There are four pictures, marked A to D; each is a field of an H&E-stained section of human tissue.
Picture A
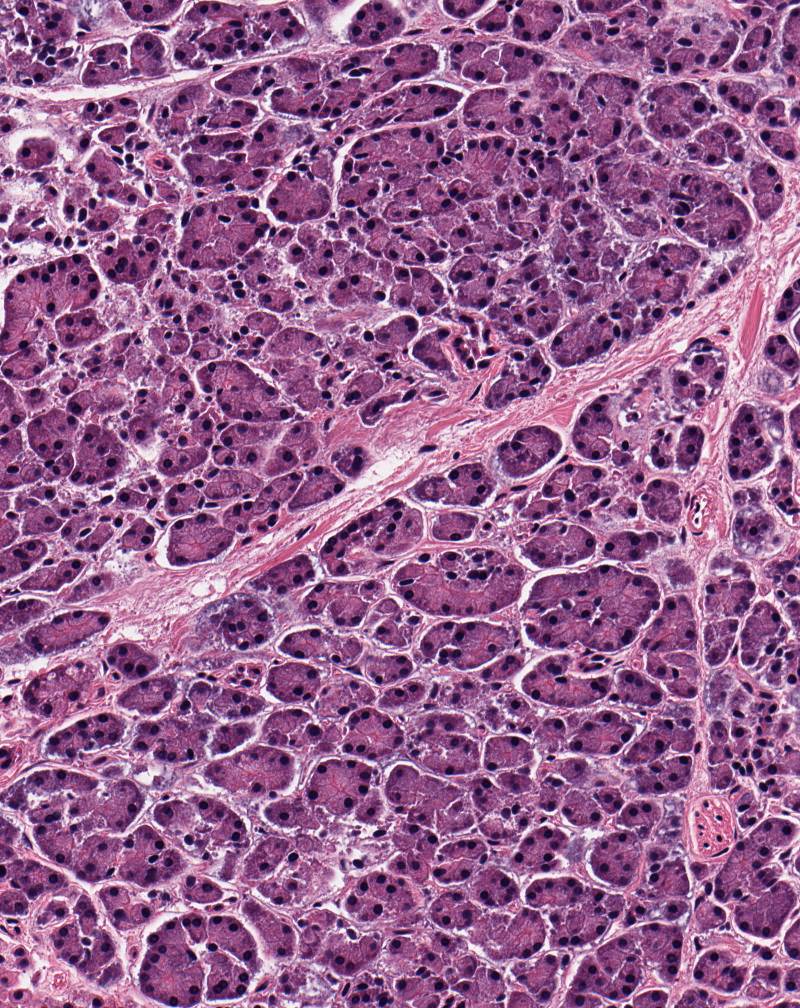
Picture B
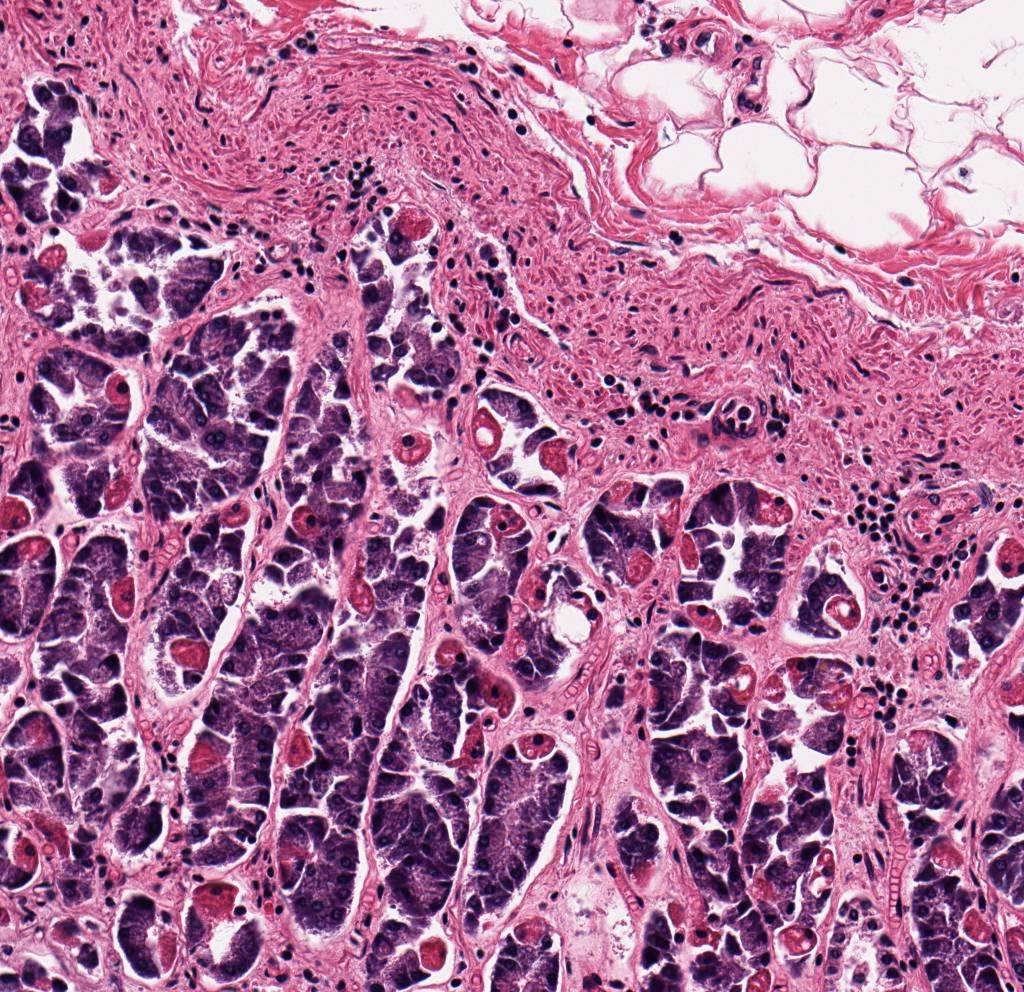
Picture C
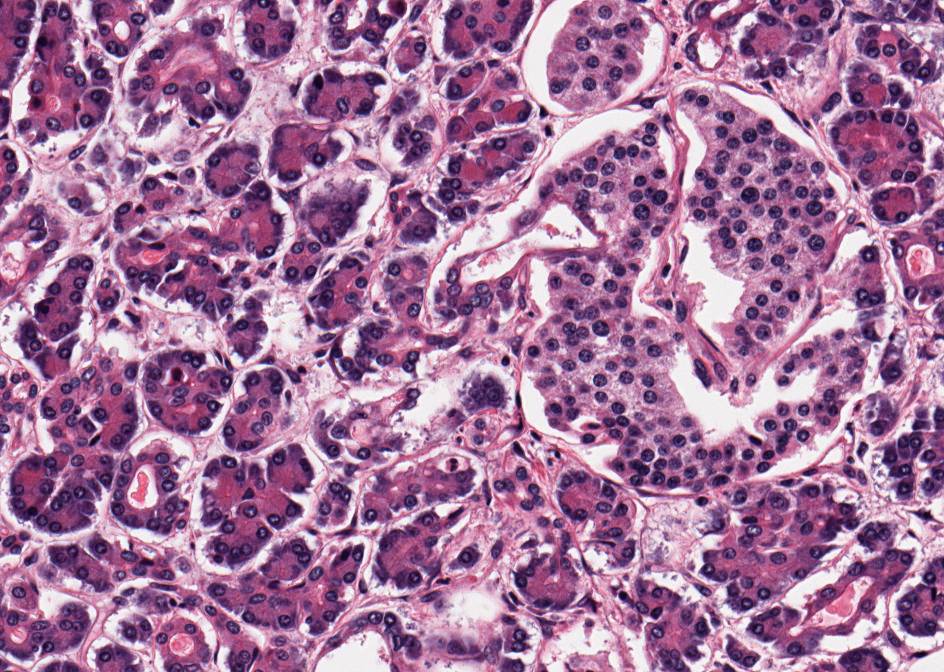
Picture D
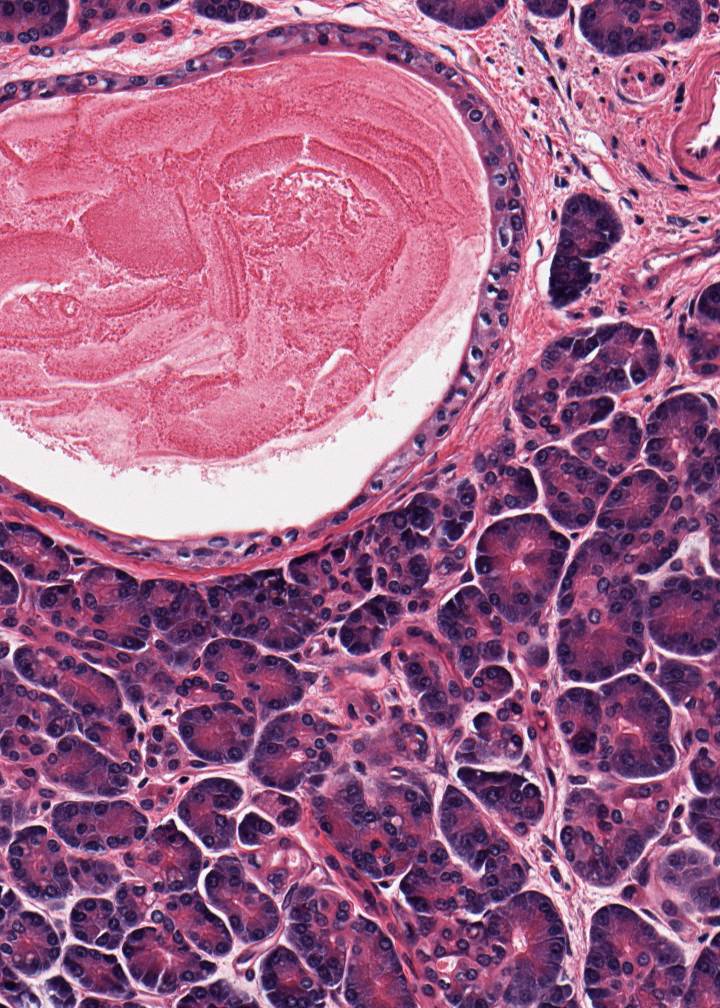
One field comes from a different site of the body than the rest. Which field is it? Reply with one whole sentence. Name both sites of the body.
All pictures except B come from the pancreas; picture B comes from the stomach.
